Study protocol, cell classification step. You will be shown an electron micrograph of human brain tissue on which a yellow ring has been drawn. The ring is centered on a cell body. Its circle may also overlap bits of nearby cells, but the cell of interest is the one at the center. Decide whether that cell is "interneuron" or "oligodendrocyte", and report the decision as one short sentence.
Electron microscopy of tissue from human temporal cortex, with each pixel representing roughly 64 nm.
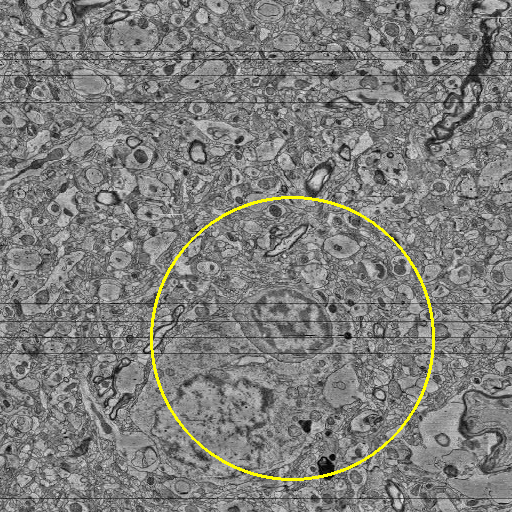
The marked cell is an oligodendrocyte.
